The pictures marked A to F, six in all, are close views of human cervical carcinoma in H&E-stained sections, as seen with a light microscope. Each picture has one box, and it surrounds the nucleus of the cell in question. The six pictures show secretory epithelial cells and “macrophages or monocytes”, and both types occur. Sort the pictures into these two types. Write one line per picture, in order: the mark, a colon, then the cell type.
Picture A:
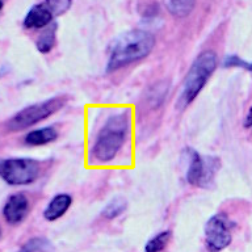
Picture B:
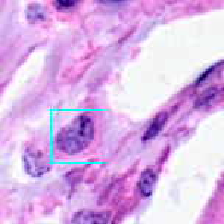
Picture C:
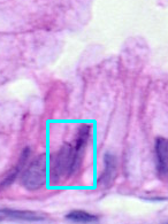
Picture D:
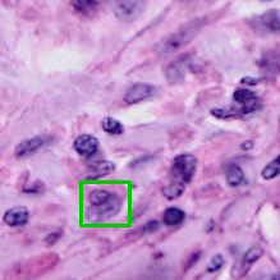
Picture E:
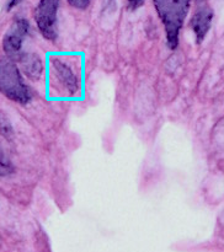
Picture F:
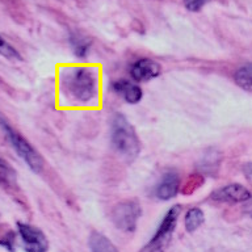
A: macrophage or monocyte
B: macrophage or monocyte
C: secretory epithelial cell
D: macrophage or monocyte
E: secretory epithelial cell
F: macrophage or monocyte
